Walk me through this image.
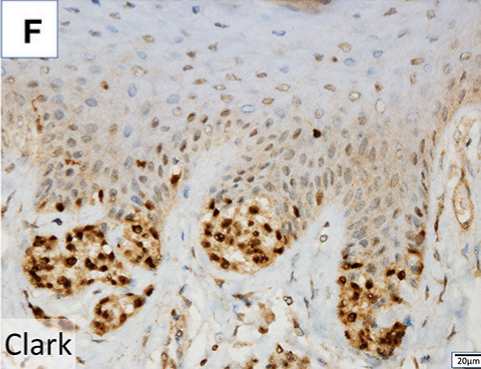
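This is skin from a benign nevus. Compact nests of nevus cells sit at the bases of the rete ridges, where the epidermis meets the dermis. The cells in the nests are small and crowded, with intensely brown-stained nuclei and some granular brown cytoplasm. Above the nests, the epidermal keratinocytes are mostly pale, with light blue nuclei and a faint brown tinge toward the base. The dermis between the ridges is pale blue and holds a few vessels and scattered stained cells. The nests are rounded and sharply set off from the surrounding tissue.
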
